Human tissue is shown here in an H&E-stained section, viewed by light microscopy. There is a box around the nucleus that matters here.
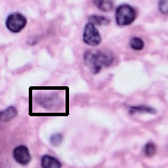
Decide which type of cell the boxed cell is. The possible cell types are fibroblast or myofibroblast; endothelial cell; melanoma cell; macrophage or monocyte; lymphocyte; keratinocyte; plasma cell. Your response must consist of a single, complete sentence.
It is as a macrophage or monocyte that the boxed cell is classified.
